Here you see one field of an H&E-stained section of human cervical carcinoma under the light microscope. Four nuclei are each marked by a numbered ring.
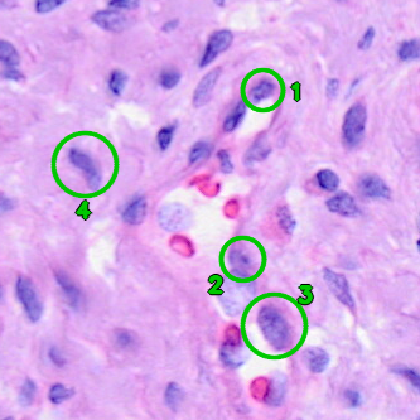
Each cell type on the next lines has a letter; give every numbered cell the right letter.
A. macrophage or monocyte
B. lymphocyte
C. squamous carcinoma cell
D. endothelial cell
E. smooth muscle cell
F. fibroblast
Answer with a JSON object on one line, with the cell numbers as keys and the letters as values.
{"1": "D", "2": "D", "3": "D", "4": "F"}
